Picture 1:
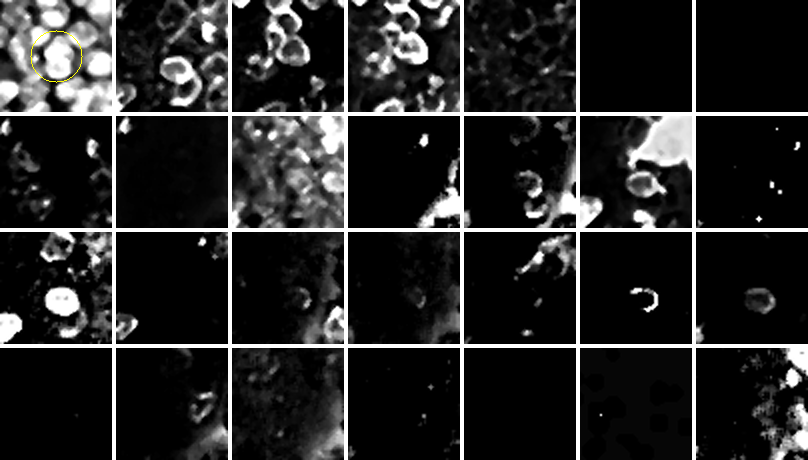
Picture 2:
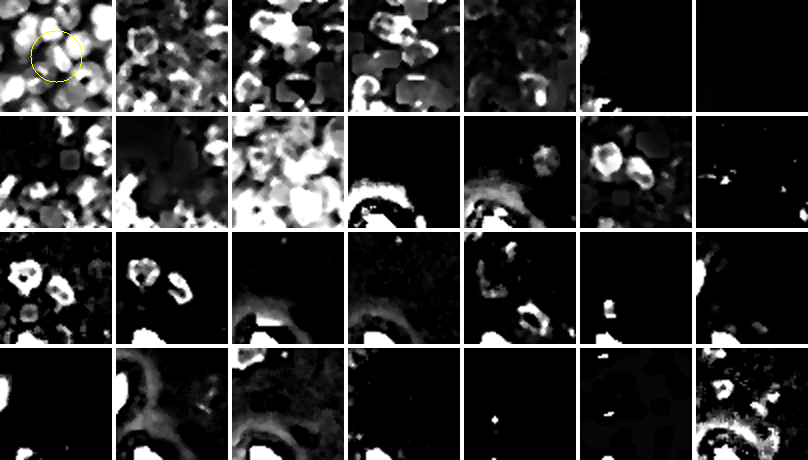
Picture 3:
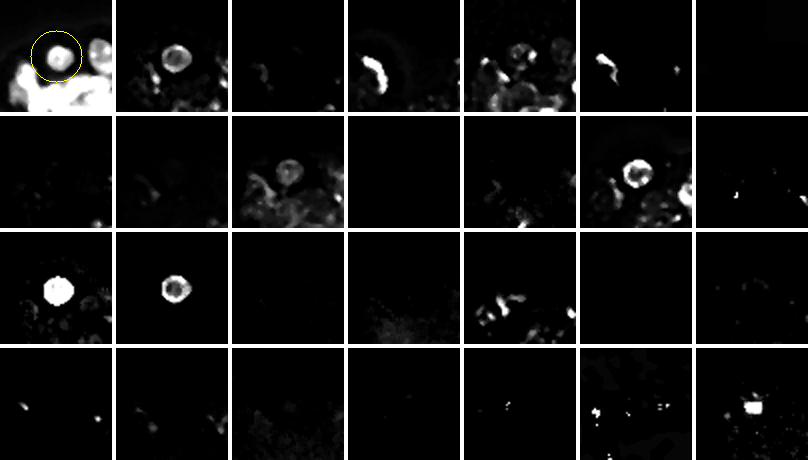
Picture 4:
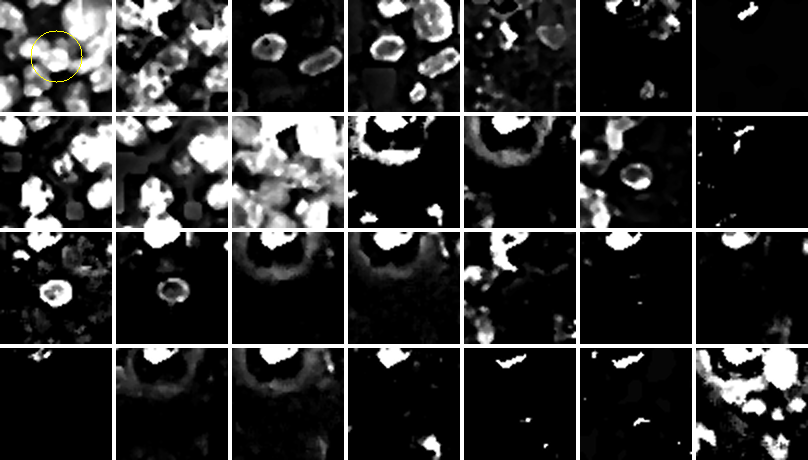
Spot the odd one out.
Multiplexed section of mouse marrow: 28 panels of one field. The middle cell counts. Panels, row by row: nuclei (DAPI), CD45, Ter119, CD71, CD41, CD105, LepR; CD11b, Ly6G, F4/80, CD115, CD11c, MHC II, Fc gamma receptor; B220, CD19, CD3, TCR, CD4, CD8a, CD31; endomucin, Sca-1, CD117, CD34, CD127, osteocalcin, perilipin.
Picture 1 (an erythroblast among B cells).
